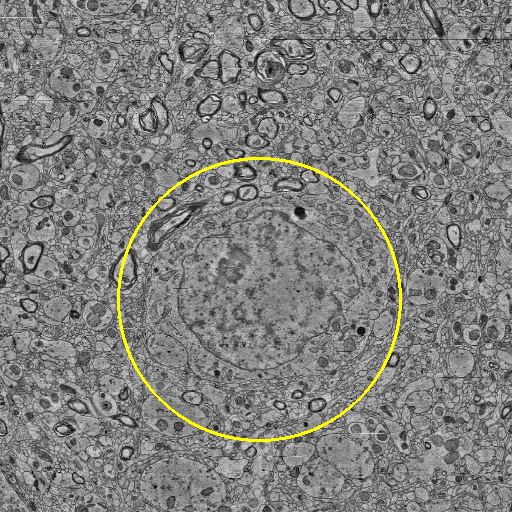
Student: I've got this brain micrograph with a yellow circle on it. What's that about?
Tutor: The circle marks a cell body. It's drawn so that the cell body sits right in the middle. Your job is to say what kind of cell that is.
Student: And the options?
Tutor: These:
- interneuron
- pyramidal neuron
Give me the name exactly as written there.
interneuron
